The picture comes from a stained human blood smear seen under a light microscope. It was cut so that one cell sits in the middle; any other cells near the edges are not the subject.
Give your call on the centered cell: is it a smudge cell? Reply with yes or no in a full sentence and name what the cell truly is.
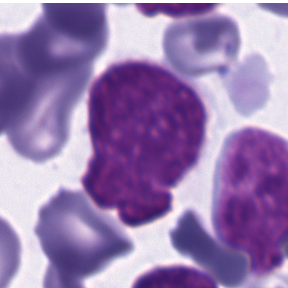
No, the central cell is a myeloblast; it should not be labelled a smudge cell.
